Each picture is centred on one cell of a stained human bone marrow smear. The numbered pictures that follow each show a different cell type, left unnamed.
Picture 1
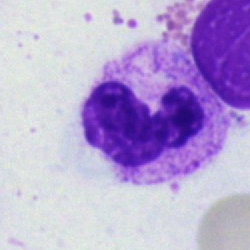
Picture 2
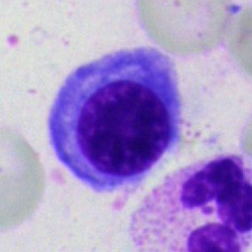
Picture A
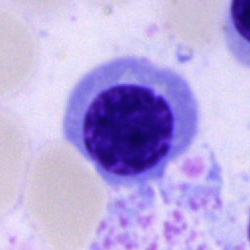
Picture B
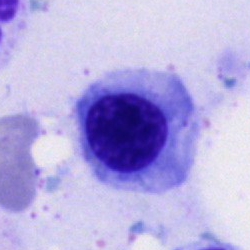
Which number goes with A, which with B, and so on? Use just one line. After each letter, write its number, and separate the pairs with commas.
A 2, B 2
